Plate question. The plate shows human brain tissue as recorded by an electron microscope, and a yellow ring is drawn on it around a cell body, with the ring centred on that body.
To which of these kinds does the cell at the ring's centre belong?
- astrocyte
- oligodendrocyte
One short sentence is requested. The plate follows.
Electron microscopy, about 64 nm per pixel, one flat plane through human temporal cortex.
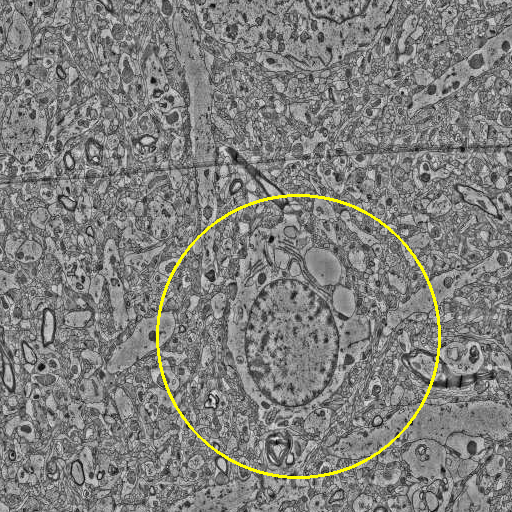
The cell at the ring's centre is an astrocyte.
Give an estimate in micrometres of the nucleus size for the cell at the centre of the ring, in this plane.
The nucleus comes to roughly 8 by 6 micrometres in this plane.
